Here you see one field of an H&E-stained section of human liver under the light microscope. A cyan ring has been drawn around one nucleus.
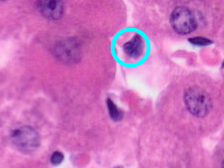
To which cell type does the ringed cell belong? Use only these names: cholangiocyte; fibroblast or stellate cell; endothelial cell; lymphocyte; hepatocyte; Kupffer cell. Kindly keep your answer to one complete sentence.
In the tissue under study, the ringed cell is a fibroblast or stellate cell.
